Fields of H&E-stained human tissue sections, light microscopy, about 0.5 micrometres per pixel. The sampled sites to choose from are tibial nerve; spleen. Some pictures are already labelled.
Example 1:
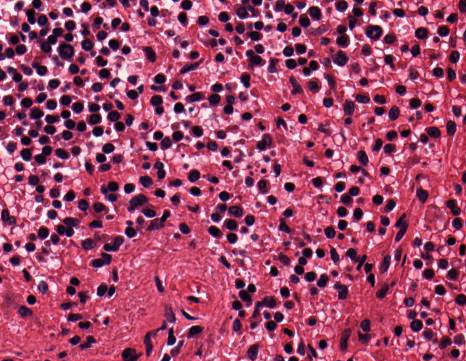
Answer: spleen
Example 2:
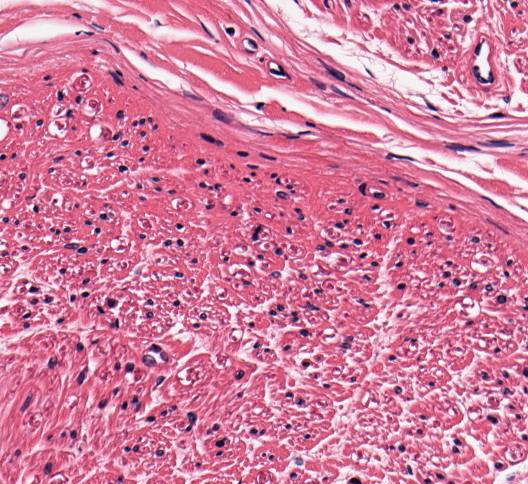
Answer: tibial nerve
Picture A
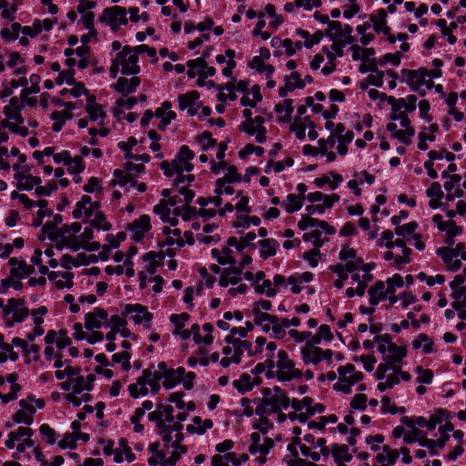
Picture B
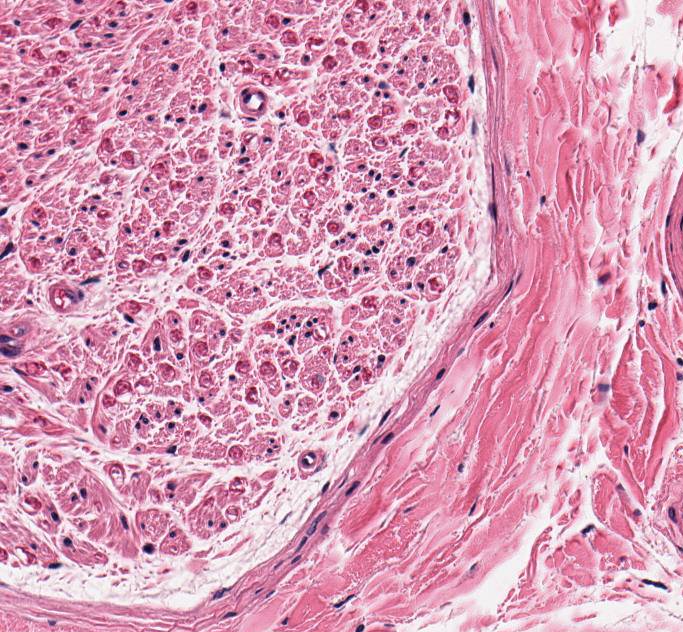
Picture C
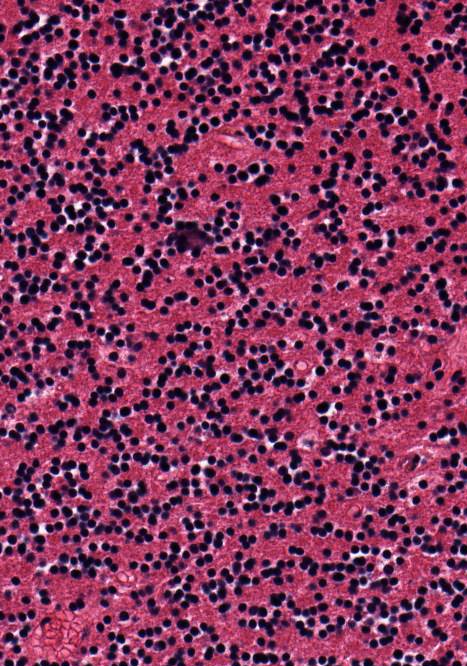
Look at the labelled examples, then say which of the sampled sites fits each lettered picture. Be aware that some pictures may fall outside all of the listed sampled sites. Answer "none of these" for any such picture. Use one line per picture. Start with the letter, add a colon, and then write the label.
A: none of these
B: tibial nerve
C: none of these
